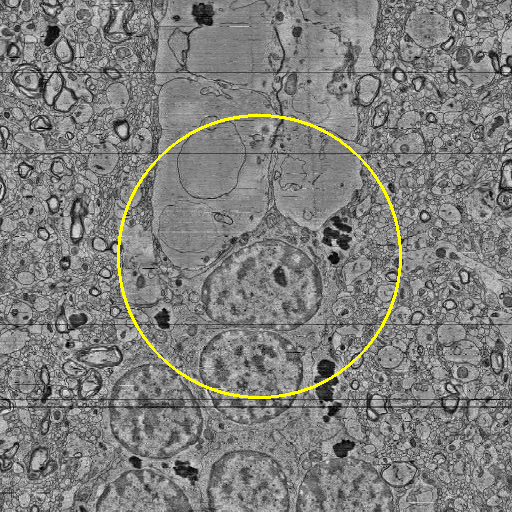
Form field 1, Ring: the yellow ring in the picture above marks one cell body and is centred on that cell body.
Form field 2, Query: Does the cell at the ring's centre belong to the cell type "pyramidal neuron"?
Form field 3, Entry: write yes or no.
no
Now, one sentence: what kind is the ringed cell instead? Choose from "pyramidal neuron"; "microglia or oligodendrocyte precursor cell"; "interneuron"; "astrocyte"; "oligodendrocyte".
The cell this ring marks is an oligodendrocyte.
